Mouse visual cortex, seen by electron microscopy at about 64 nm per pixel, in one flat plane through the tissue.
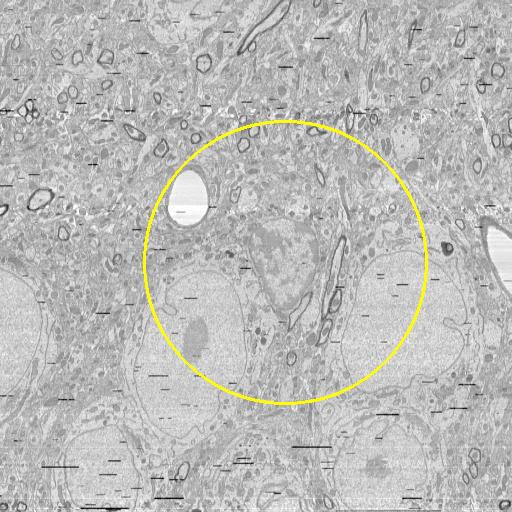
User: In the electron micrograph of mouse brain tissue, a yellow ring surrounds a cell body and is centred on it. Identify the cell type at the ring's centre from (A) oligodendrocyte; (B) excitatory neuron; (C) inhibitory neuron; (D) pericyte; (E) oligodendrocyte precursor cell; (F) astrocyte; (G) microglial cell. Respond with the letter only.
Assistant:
A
